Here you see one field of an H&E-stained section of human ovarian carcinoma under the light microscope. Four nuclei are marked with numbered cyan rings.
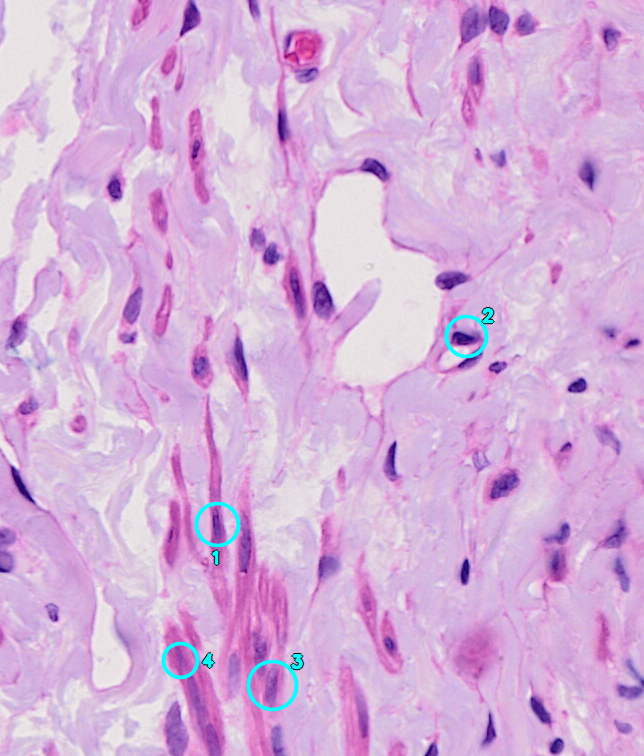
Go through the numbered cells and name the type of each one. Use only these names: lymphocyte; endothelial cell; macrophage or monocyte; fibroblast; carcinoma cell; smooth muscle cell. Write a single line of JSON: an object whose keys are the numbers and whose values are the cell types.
{"1": "smooth muscle cell", "2": "endothelial cell", "3": "smooth muscle cell", "4": "smooth muscle cell"}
